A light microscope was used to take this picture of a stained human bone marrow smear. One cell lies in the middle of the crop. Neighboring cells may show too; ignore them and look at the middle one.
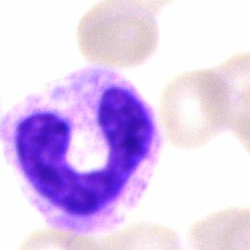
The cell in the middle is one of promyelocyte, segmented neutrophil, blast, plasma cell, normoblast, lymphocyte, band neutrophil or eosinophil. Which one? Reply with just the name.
band neutrophil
